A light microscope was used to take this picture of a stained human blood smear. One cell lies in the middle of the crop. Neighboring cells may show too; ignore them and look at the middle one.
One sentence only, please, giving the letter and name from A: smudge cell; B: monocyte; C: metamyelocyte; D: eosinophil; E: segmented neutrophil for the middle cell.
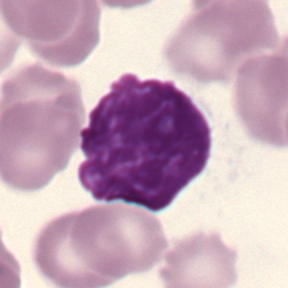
The centered cell is a smudge cell, which is why option A is right.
